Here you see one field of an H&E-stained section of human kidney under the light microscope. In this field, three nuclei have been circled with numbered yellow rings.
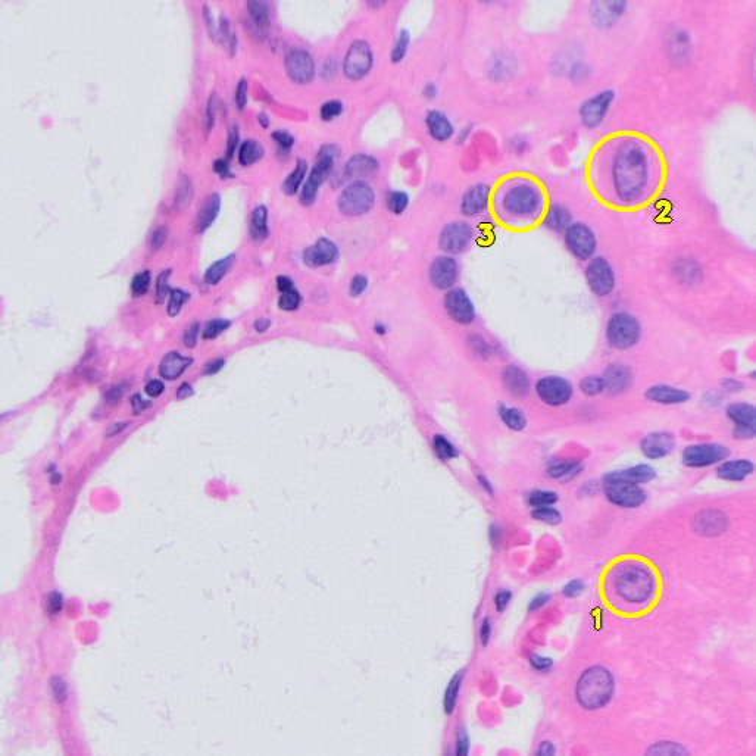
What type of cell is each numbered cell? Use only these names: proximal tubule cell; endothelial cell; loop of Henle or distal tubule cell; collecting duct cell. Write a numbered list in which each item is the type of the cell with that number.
1. proximal tubule cell
2. proximal tubule cell
3. collecting duct cell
